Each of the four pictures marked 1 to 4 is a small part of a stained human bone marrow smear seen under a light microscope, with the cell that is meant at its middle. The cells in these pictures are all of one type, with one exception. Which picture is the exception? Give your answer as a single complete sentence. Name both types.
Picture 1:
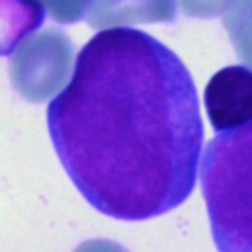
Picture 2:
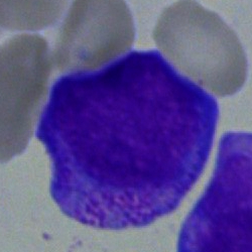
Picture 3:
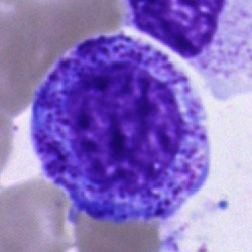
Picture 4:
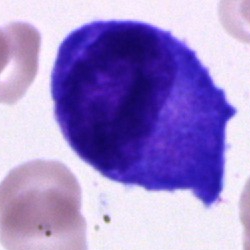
The different one is picture 3; it shows a promyelocyte, whereas all the others show blasts.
